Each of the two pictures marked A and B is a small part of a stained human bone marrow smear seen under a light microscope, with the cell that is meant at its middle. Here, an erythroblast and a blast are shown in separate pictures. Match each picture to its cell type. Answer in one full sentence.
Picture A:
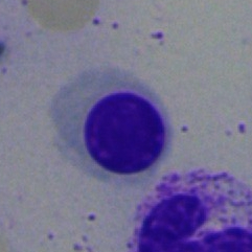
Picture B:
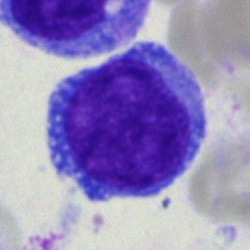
In picture A the cell is an erythroblast; in picture B, a blast.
